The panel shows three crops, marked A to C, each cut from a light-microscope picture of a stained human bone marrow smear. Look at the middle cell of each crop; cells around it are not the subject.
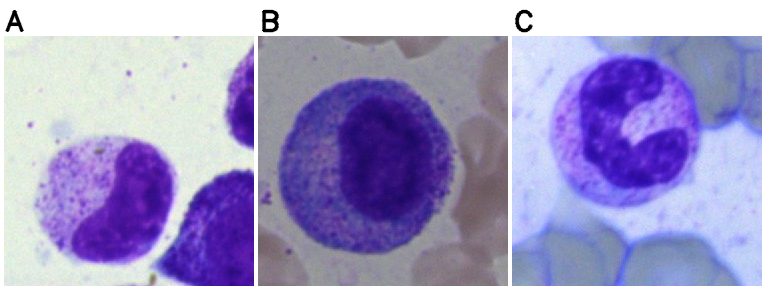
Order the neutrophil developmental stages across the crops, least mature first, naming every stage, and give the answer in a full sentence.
Taken from least mature to most mature, the crops are crop B (a myelocyte), crop A (a metamyelocyte) and crop C (a band neutrophil).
